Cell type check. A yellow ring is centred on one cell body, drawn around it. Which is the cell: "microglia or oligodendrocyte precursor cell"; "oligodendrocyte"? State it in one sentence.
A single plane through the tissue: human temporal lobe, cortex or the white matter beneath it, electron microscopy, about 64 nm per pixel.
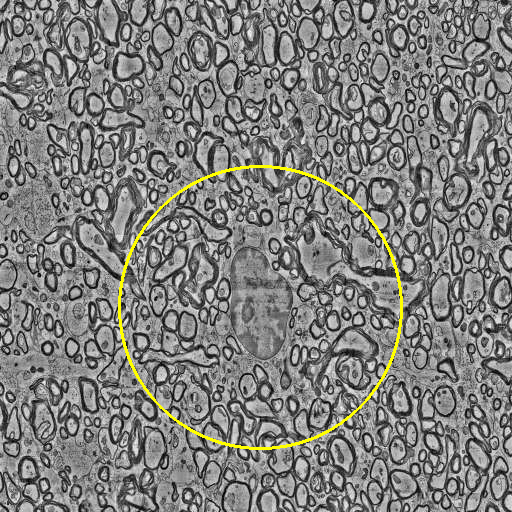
The cell body at the ring's centre belongs to a microglial cell or oligodendrocyte precursor cell.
